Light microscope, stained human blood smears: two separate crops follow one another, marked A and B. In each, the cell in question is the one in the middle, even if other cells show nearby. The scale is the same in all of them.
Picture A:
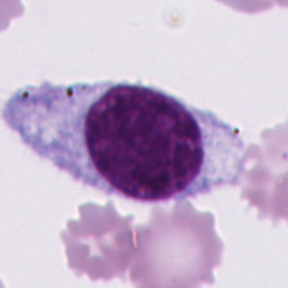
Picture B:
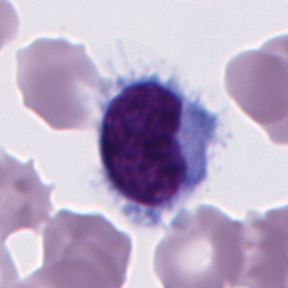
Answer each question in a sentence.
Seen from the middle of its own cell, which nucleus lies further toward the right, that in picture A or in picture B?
Seen within its cell, the nucleus in picture A lies further toward the right.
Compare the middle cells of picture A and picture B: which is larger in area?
Larger is the cell in picture A, at roughly 1.5 times the area of the other.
